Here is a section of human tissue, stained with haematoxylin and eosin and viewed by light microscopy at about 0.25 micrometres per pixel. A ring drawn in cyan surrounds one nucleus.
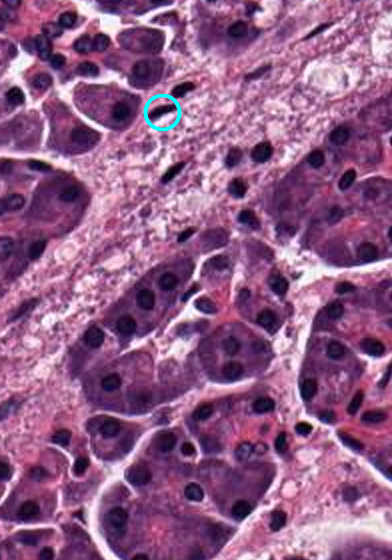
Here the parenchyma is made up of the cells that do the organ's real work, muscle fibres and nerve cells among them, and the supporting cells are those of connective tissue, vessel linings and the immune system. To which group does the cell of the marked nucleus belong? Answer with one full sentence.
Designated as that of a supporting cell is the marked nucleus.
